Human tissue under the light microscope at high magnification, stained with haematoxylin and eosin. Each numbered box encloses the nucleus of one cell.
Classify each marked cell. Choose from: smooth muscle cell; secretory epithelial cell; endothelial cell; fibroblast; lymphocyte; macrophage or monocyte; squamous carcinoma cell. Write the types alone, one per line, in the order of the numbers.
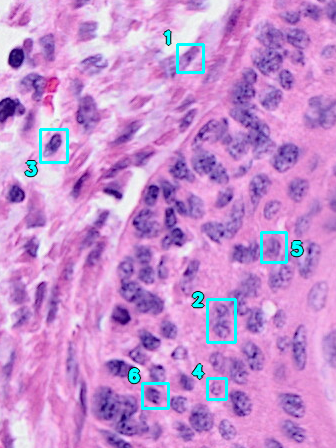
fibroblast
squamous carcinoma cell
lymphocyte
squamous carcinoma cell
squamous carcinoma cell
squamous carcinoma cell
